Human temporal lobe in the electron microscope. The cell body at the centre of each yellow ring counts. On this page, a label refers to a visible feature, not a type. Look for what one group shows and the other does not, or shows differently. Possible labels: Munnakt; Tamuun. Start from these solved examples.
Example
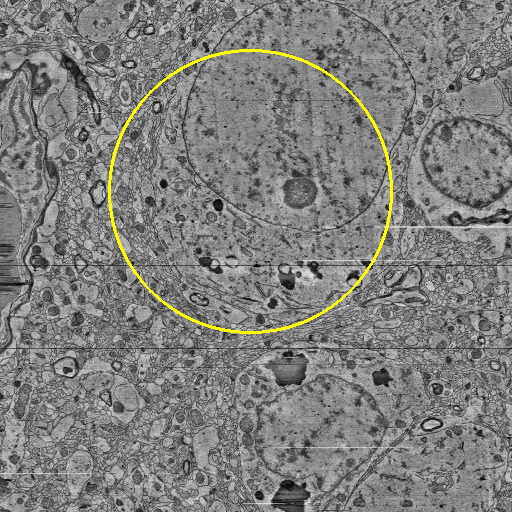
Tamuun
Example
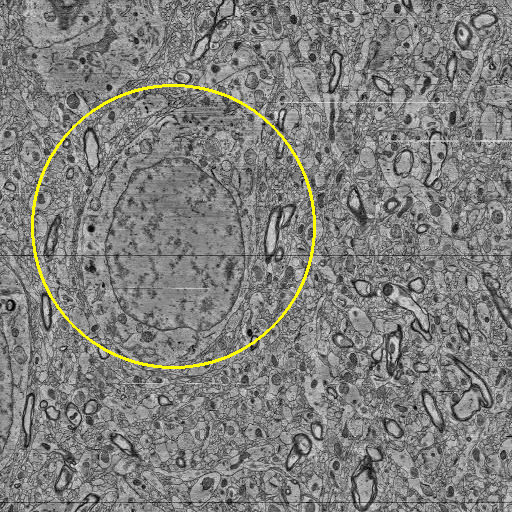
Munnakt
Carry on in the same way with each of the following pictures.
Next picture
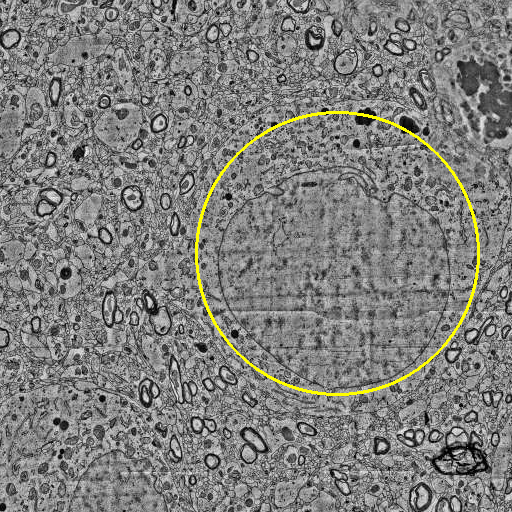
Munnakt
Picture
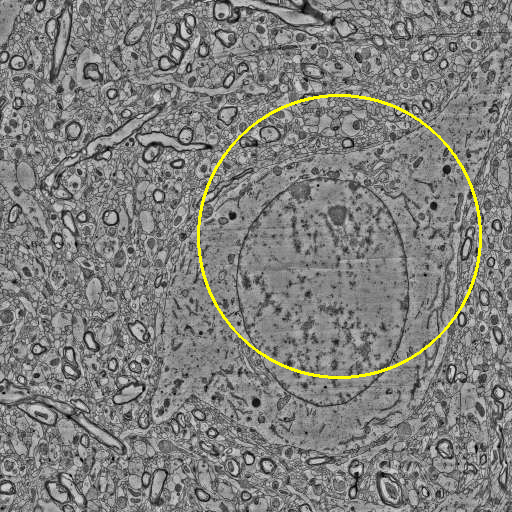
Tamuun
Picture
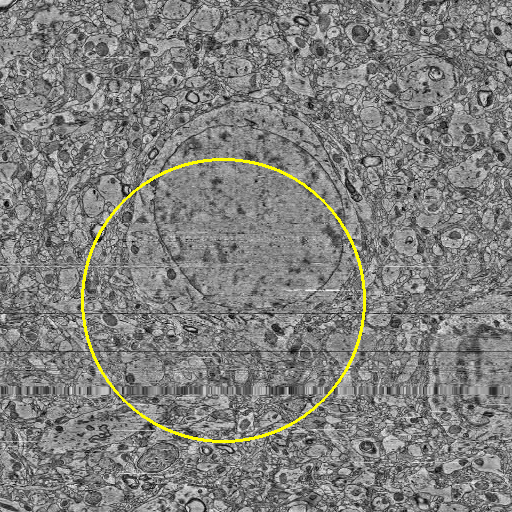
Munnakt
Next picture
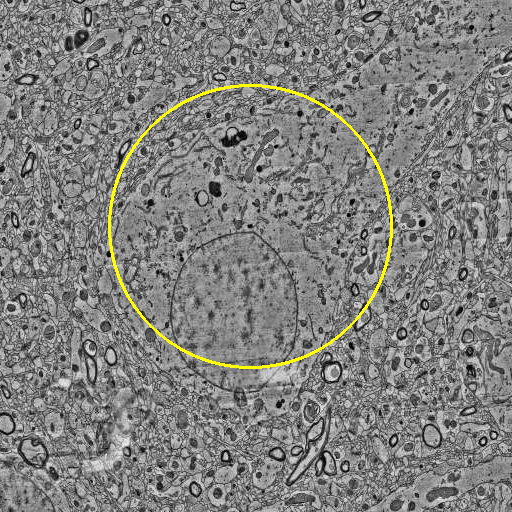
Munnakt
